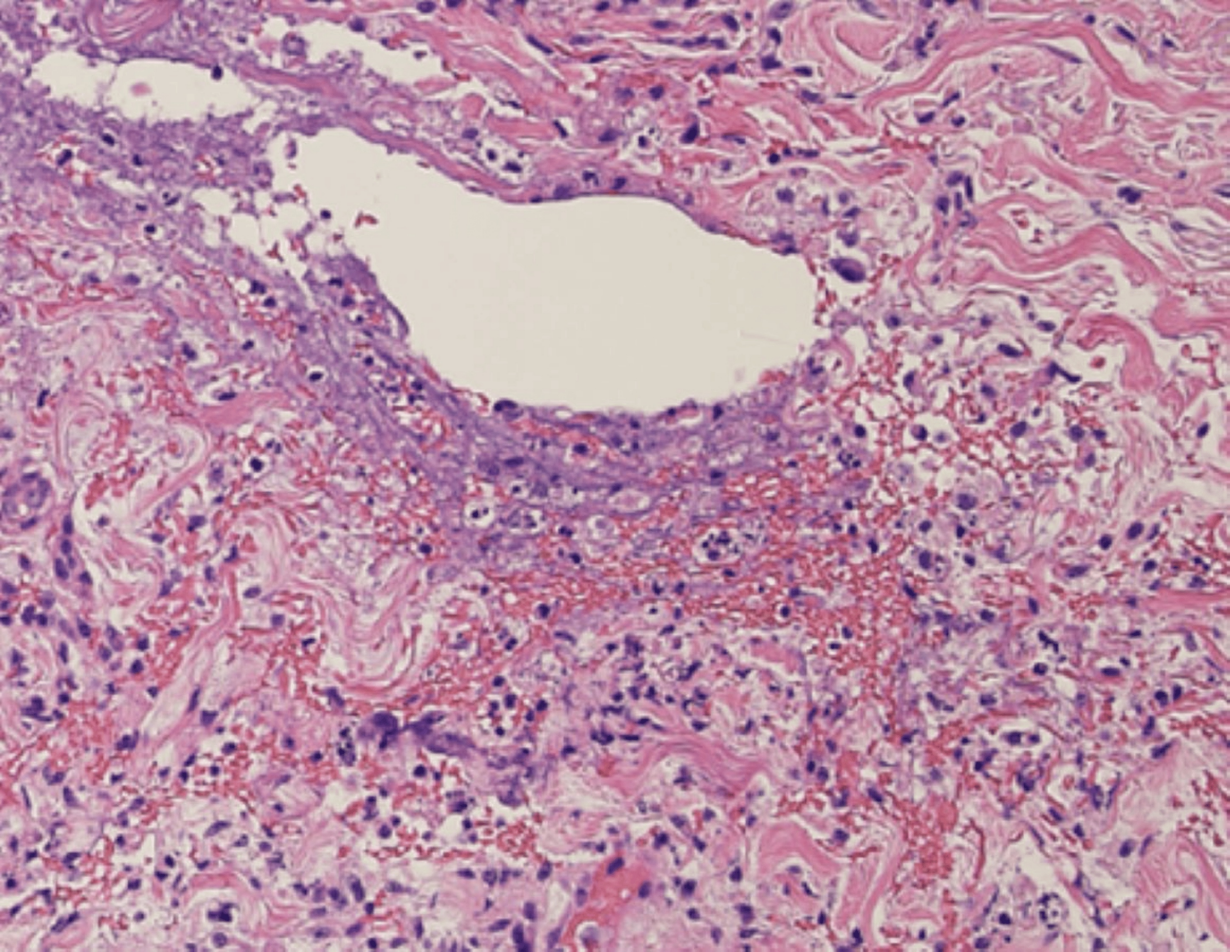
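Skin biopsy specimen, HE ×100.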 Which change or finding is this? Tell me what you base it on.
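Extravascular erythrocyte leakage. Many small red, anucleate, disc-like bodies lie scattered between the pink collagen bundles. The red bodies lie outside the clear, empty vessel-like lumen at the top.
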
